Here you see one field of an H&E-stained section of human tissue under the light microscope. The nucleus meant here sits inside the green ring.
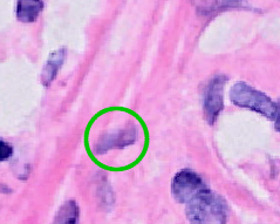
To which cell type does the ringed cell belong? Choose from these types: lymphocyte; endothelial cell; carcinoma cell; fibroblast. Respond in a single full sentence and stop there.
In cell-type terms, the ringed cell is a fibroblast.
